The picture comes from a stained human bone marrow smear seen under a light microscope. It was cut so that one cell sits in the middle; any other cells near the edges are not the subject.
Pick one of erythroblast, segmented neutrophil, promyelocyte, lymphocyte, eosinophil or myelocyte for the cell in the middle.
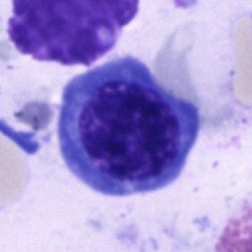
erythroblast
